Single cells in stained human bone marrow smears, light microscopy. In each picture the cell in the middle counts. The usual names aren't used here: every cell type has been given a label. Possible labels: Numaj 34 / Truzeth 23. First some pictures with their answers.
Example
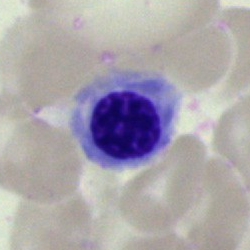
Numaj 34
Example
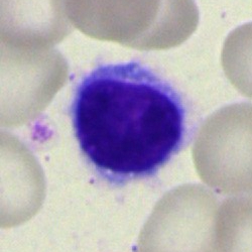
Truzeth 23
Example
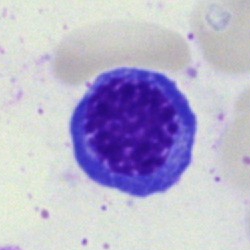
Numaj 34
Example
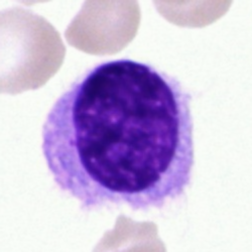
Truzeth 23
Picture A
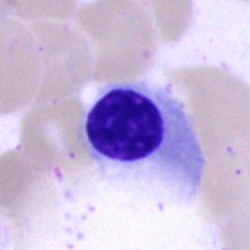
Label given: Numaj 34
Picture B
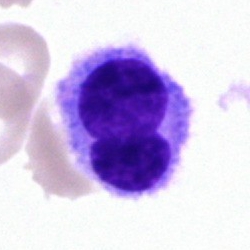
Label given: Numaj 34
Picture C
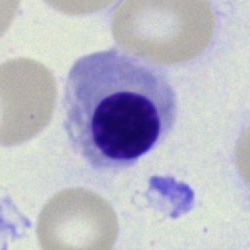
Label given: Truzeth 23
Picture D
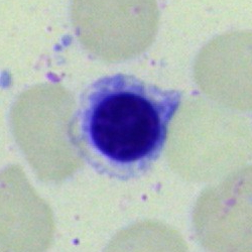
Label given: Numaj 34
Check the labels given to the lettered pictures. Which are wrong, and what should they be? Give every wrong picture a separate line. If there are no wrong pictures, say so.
B is labelled Numaj 34; correct label: Truzeth 23
C is labelled Truzeth 23; correct label: Numaj 34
